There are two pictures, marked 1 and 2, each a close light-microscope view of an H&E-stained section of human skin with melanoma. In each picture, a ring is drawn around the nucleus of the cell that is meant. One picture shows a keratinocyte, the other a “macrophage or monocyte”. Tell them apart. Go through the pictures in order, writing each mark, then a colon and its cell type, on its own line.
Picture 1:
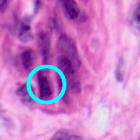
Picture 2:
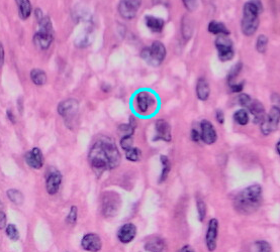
1: keratinocyte
2: macrophage or monocyte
